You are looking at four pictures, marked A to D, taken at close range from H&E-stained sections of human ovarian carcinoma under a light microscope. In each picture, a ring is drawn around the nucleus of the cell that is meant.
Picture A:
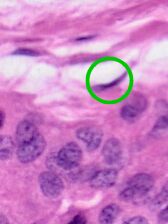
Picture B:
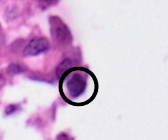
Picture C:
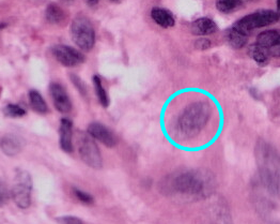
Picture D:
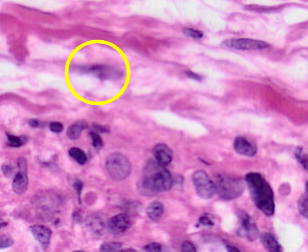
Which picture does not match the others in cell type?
B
